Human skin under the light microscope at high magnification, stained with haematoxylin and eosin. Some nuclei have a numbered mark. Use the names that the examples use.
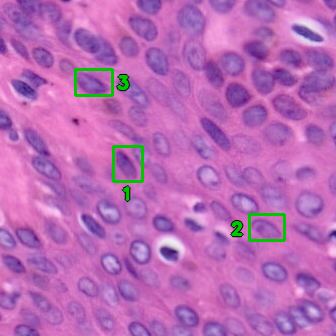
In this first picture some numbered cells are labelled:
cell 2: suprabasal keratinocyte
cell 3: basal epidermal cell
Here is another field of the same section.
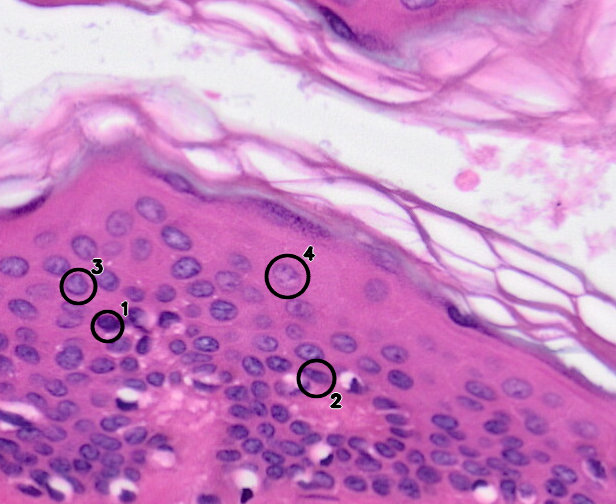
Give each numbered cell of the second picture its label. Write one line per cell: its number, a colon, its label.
1: basal epidermal cell
2: basal epidermal cell
3: suprabasal keratinocyte
4: suprabasal keratinocyte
